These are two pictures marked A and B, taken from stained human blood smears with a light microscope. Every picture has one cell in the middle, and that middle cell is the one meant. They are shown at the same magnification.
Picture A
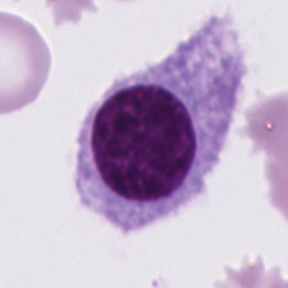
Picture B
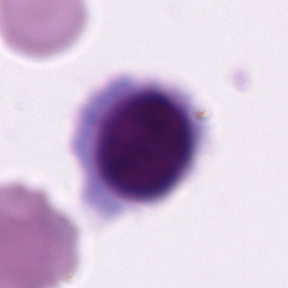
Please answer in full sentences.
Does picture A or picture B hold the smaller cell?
Smaller is the cell in picture B, and the other is about 1.5 times as large in area.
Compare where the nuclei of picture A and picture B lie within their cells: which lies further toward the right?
In picture B the nucleus is shifted more toward the right.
